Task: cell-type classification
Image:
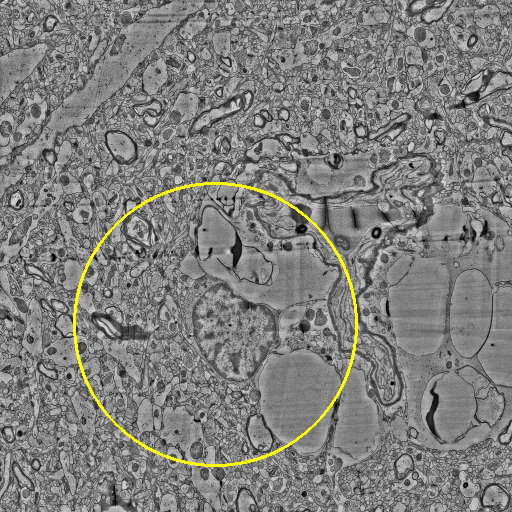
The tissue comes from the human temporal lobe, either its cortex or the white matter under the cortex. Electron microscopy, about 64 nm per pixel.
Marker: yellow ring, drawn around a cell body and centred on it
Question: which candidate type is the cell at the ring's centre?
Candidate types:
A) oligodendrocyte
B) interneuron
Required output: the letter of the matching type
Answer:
A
